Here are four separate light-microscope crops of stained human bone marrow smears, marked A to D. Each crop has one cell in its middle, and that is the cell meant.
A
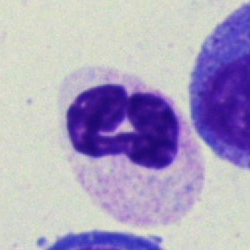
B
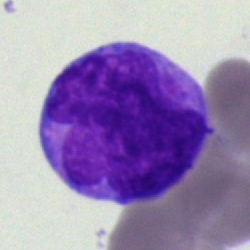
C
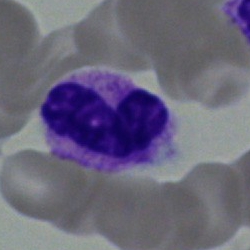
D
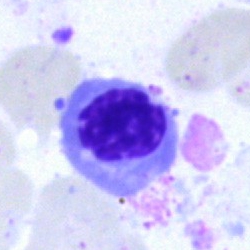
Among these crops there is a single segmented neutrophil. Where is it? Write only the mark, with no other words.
A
